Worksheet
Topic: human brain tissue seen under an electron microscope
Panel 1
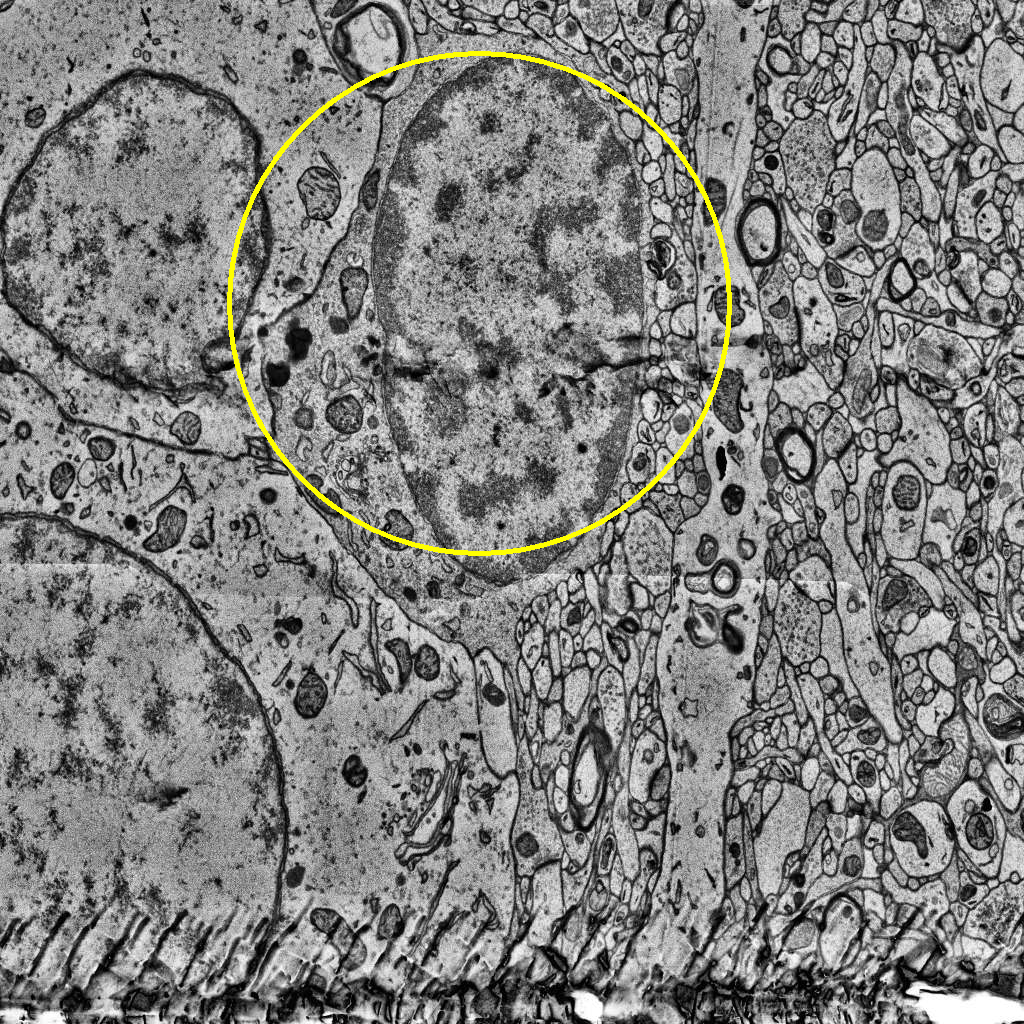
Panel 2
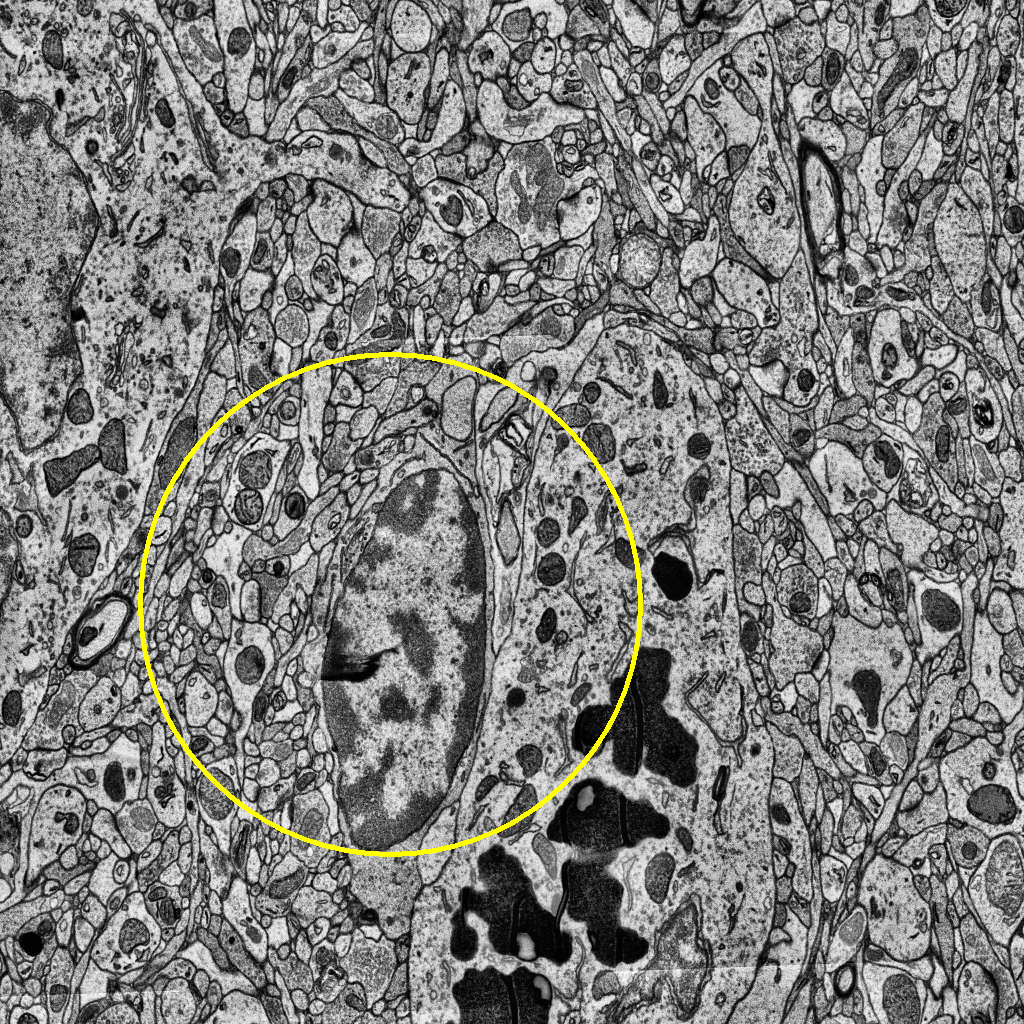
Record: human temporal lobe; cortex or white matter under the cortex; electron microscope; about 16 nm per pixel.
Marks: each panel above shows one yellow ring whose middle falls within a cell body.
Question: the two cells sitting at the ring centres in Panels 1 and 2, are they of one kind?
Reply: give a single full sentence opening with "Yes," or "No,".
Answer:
No, the two cells at the ring centres in Panel 1 and Panel 2 are of two kinds.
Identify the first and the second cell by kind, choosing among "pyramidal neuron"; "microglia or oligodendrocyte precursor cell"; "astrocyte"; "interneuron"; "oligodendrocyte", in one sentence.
The second cell is a microglial cell or oligodendrocyte precursor cell, and the first cell is an oligodendrocyte.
